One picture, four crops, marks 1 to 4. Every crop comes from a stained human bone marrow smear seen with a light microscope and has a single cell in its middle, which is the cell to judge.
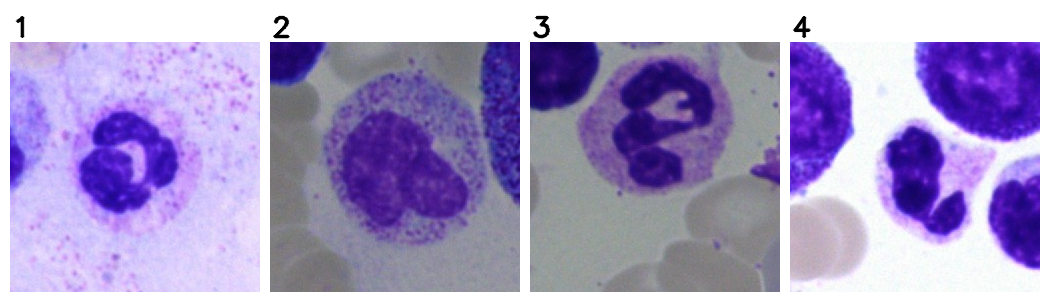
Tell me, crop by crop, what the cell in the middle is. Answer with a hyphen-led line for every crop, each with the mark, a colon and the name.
- 1: segmented neutrophil
- 2: band neutrophil
- 3: segmented neutrophil
- 4: segmented neutrophil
